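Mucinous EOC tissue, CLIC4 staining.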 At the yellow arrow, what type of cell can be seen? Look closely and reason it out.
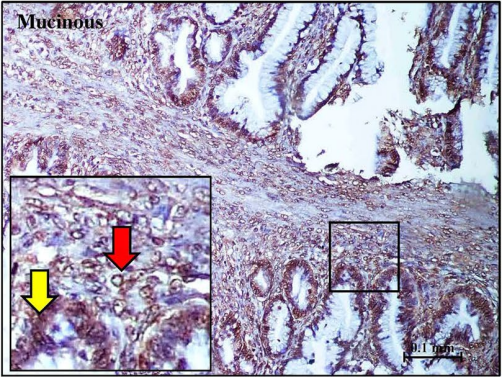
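The yellow arrow points to densely packed cells with brown-stained cytoplasm. These cells form glandular structures elsewhere in the panel.
Tumor cells.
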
